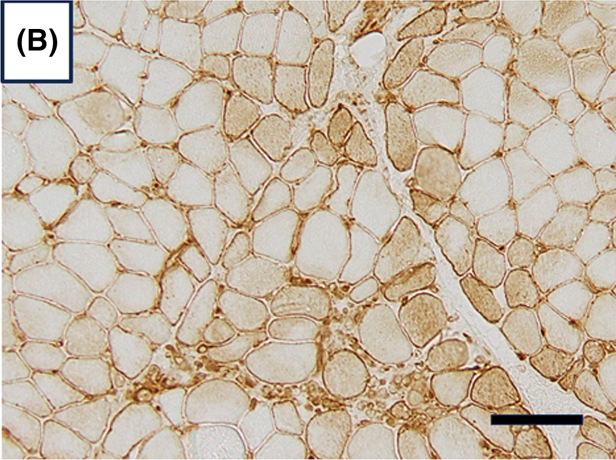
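This is skeletal muscle in cross-section, with most muscle fibers outlined by brown stain. A pale septum of connective tissue runs diagonally between two fascicles. The fibers lying along this septum, at the edges of the fascicles, are stained a darker brown, both at their borders and in their cytoplasm. Fibers toward the center of the fascicles show mainly a brown rim with pale interiors.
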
